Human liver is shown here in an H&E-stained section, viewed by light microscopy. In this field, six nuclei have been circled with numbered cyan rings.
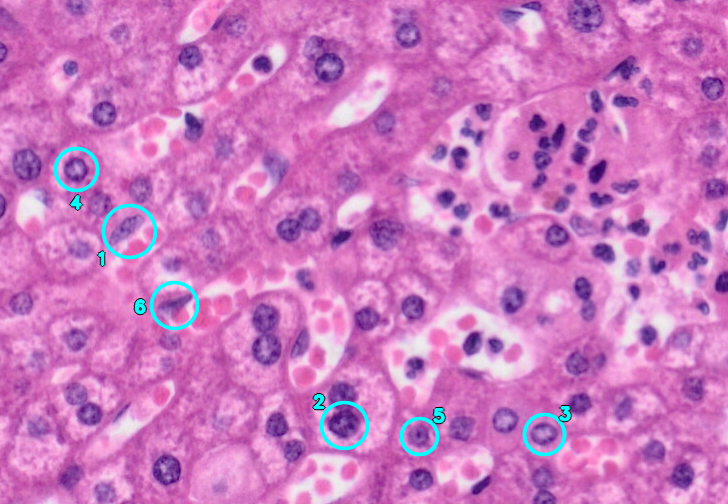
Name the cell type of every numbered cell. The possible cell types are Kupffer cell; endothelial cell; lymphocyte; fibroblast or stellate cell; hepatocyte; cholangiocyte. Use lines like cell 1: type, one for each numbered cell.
cell 1: Kupffer cell
cell 2: hepatocyte
cell 3: hepatocyte
cell 4: hepatocyte
cell 5: hepatocyte
cell 6: endothelial cell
